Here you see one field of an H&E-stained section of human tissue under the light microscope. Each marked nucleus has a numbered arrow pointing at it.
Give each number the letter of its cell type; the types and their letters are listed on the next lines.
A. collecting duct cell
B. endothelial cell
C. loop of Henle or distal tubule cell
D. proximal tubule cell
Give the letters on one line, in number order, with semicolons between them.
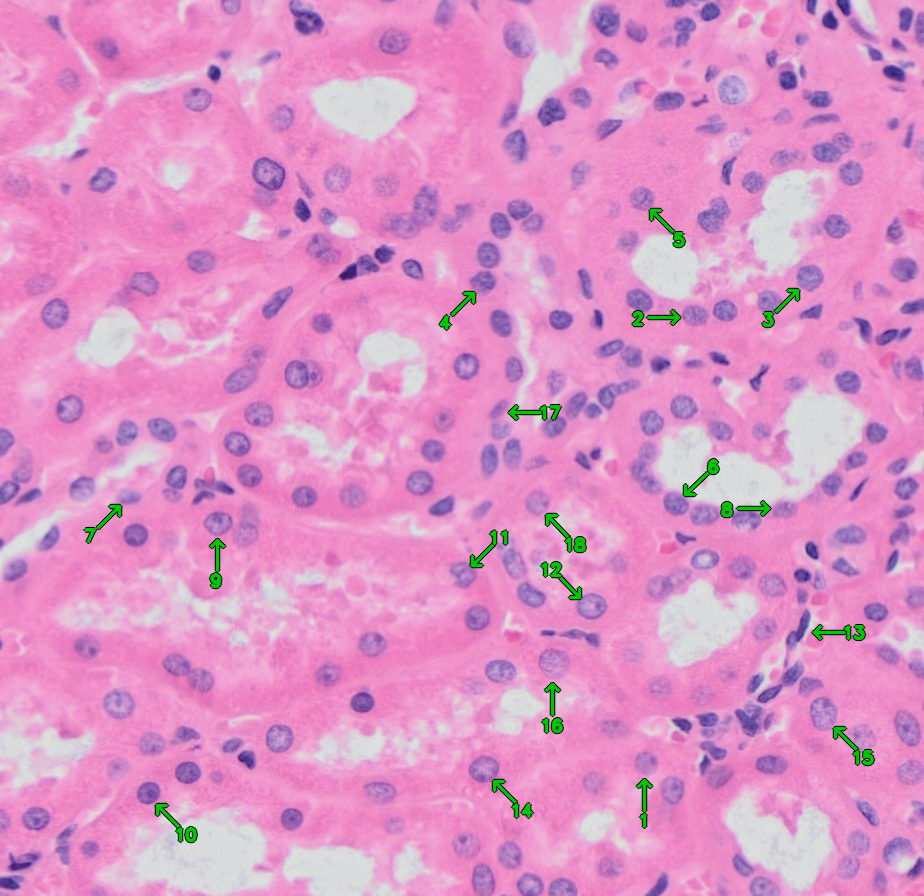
D; C; C; A; C; C; A; C; D; D; D; D; B; D; D; D; A; D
